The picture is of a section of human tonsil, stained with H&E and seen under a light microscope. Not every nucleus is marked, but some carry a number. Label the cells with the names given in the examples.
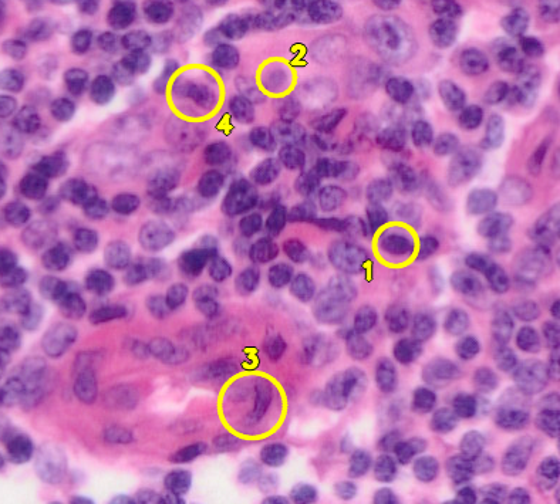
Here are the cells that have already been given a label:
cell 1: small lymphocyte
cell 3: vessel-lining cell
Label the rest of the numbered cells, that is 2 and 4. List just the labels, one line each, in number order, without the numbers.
vessel-lining cell
vessel-lining cell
